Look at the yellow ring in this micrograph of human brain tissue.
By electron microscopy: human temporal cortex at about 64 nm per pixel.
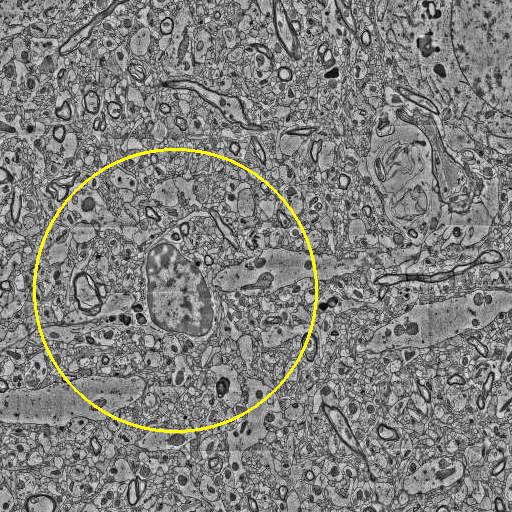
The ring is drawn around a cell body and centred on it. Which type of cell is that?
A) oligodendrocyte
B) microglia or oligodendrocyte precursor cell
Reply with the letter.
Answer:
B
